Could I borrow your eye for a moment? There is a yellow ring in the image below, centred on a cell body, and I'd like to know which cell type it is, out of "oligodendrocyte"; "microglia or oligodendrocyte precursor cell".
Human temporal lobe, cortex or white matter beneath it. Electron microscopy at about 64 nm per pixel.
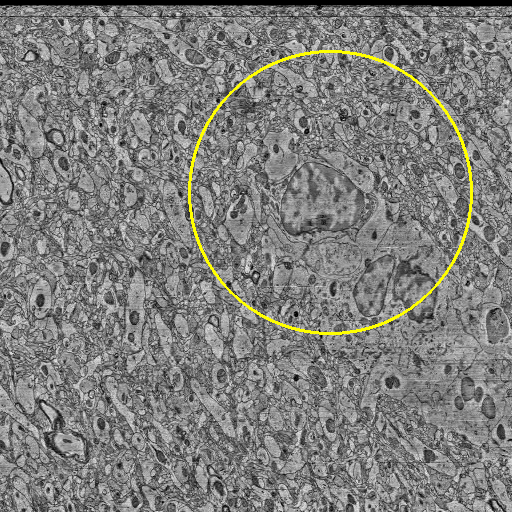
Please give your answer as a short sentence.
The cell body at the centre is that of a microglial cell or oligodendrocyte precursor cell.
